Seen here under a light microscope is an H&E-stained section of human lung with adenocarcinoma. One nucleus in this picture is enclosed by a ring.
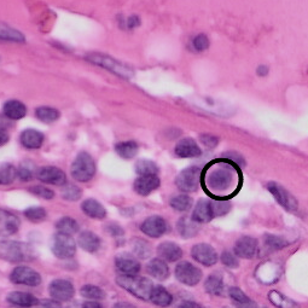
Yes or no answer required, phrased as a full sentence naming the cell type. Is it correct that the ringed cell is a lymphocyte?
Yes, to name the ringed cell a lymphocyte is correct.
